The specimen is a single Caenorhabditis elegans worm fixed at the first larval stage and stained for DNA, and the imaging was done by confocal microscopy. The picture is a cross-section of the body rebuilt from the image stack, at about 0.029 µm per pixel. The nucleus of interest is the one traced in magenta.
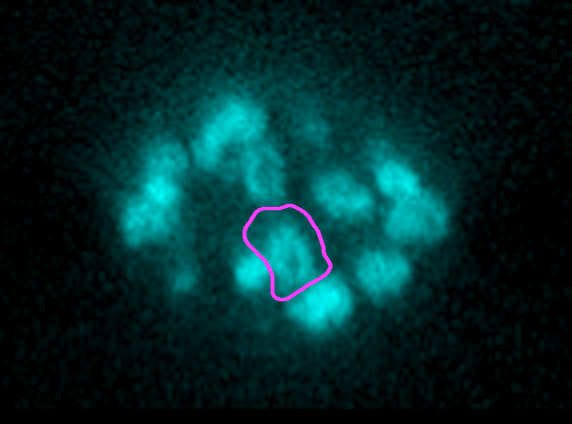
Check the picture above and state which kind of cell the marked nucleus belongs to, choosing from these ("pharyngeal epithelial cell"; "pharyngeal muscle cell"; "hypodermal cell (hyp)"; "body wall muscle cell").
pharyngeal muscle cell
